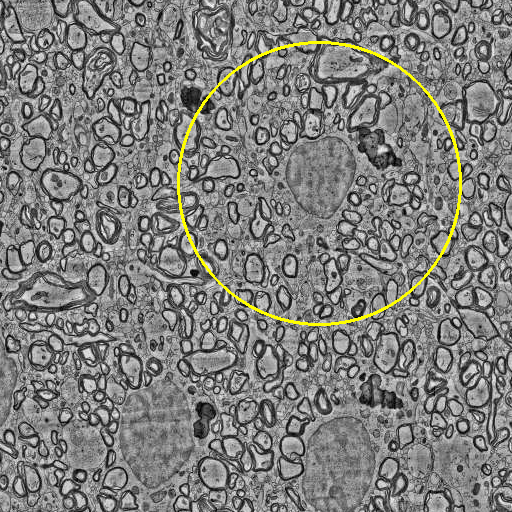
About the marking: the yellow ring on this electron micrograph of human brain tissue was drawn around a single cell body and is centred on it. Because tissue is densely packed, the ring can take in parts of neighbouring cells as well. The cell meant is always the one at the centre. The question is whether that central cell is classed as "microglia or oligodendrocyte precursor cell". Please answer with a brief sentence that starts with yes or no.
No, the central cell belongs to another class.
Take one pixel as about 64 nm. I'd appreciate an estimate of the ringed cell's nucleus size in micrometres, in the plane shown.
Roughly 5 micrometres across, measured in this plane.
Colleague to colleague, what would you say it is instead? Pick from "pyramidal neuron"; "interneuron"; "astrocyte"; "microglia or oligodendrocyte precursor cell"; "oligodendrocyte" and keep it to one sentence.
It is an oligodendrocyte that the ring is centred on.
